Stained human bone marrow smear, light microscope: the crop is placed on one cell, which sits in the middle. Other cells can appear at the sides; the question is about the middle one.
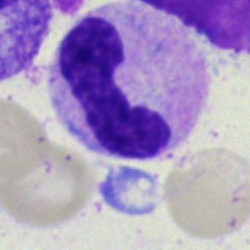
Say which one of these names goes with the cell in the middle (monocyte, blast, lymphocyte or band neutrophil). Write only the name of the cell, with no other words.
band neutrophil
